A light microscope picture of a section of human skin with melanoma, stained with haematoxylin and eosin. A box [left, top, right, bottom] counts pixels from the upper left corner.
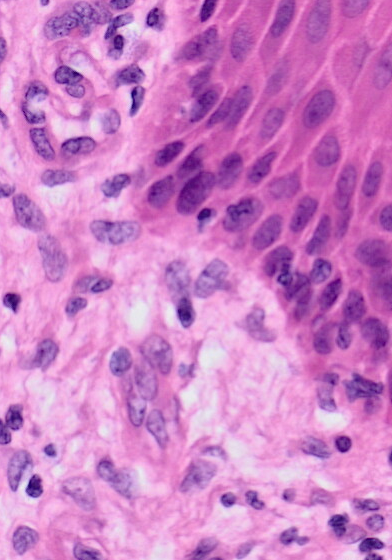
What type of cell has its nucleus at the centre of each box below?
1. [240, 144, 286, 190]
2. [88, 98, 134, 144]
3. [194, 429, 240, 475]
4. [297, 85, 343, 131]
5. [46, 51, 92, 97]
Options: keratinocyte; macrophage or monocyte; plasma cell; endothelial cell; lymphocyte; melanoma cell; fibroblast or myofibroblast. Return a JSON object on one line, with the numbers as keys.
{"1": "keratinocyte", "2": "endothelial cell", "3": "fibroblast or myofibroblast", "4": "keratinocyte", "5": "endothelial cell"}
